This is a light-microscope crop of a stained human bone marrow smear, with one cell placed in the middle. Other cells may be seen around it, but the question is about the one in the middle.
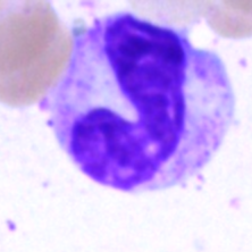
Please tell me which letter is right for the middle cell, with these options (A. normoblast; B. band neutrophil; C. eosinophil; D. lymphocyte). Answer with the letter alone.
B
